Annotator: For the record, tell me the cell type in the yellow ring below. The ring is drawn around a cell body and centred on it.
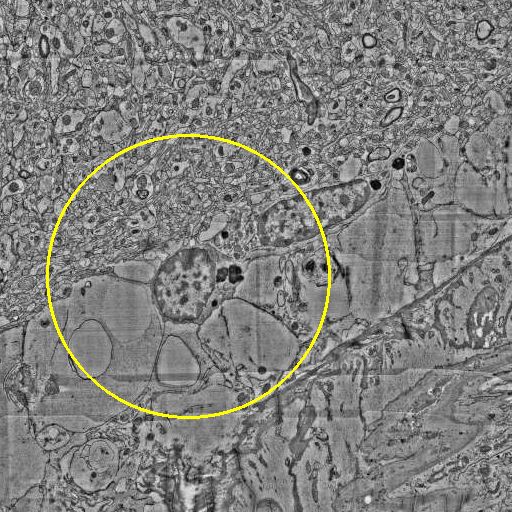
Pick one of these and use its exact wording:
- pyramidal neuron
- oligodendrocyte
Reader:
oligodendrocyte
